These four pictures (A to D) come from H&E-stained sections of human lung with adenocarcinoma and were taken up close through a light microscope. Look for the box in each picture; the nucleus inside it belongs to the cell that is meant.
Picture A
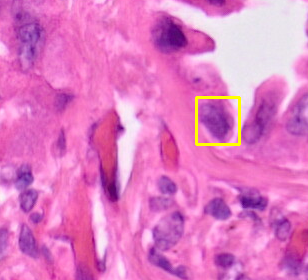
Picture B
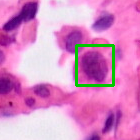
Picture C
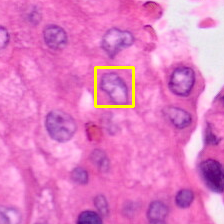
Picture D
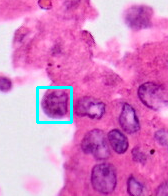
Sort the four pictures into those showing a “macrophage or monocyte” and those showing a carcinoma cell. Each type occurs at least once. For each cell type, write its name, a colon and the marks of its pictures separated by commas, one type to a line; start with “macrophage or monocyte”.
macrophage or monocyte: B, C, D
carcinoma cell: A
